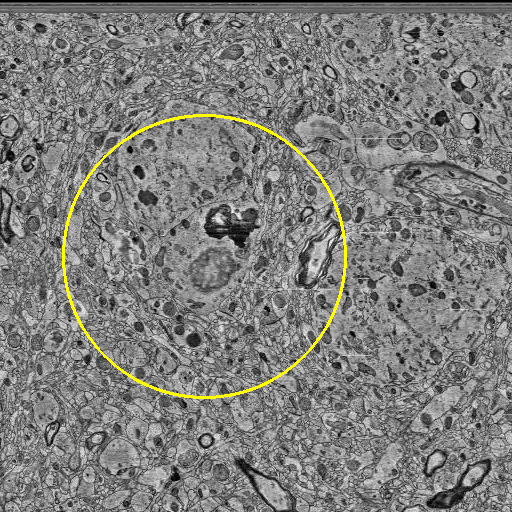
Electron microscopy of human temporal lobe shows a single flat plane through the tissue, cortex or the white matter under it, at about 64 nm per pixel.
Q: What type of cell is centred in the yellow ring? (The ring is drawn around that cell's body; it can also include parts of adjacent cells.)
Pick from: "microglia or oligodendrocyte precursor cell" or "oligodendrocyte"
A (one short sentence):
The yellow ring is centred on an oligodendrocyte.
